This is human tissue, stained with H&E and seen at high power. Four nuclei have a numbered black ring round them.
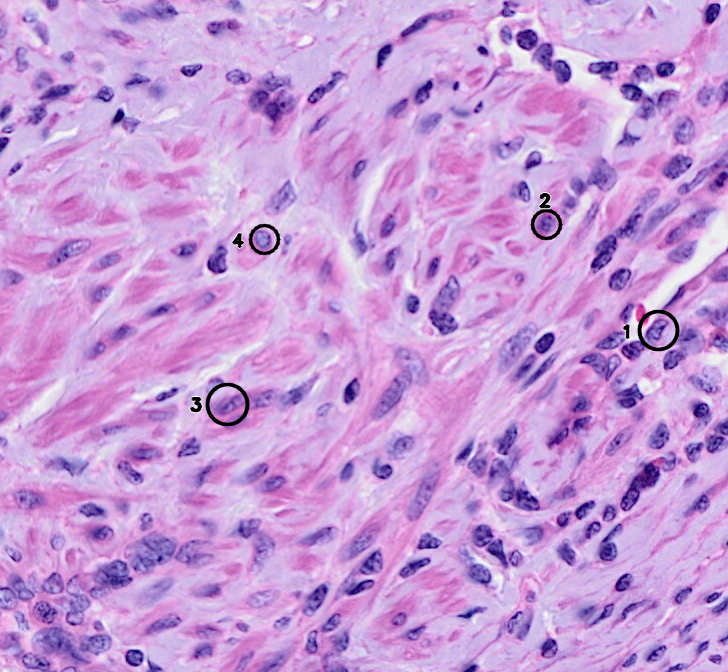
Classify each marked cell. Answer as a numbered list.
1. endothelial cell
2. smooth muscle cell
3. smooth muscle cell
4. smooth muscle cell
